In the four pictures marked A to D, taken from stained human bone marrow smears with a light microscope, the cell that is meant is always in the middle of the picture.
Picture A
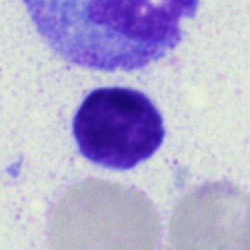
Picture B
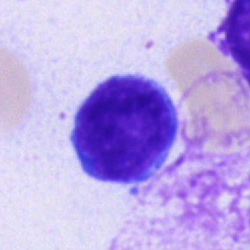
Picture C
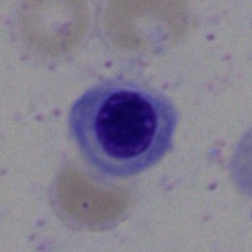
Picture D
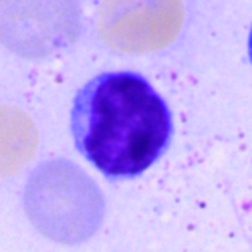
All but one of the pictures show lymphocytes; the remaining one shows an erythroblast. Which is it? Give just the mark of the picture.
C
